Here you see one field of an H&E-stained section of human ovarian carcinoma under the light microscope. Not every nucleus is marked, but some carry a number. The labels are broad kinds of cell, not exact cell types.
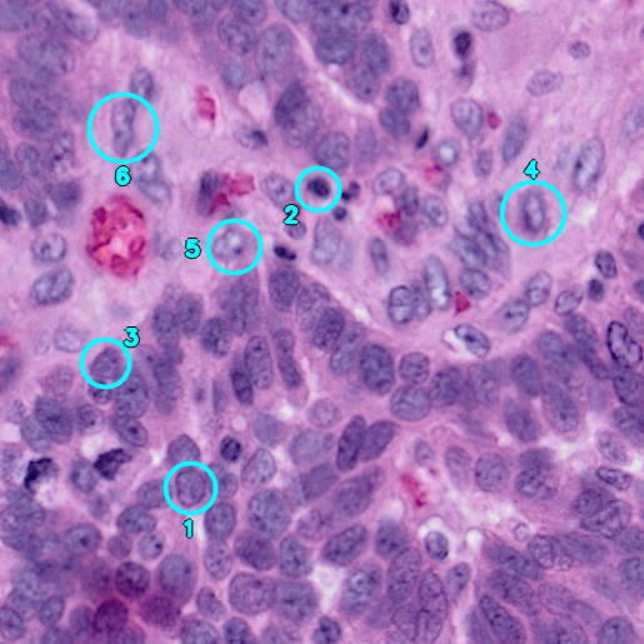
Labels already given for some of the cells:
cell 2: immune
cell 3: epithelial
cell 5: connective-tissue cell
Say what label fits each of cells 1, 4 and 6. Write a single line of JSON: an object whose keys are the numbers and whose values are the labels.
{"1": "epithelial", "4": "connective-tissue cell", "6": "connective-tissue cell"}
